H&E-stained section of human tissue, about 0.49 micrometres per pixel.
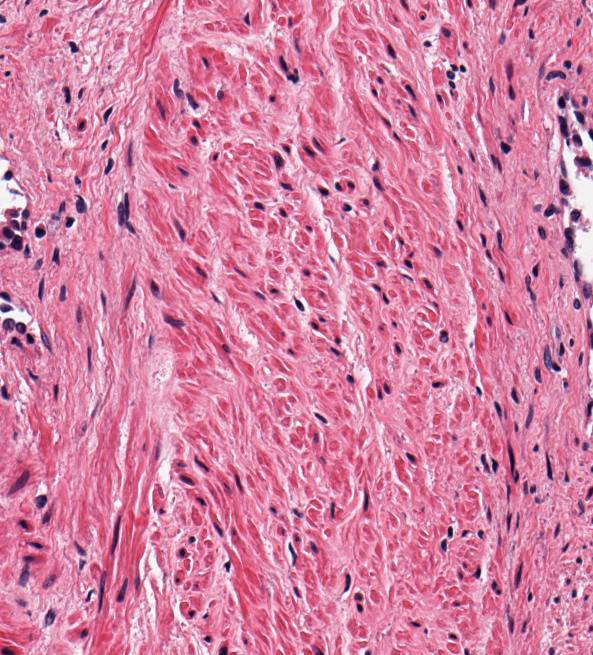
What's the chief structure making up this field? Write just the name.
fibromuscular stroma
